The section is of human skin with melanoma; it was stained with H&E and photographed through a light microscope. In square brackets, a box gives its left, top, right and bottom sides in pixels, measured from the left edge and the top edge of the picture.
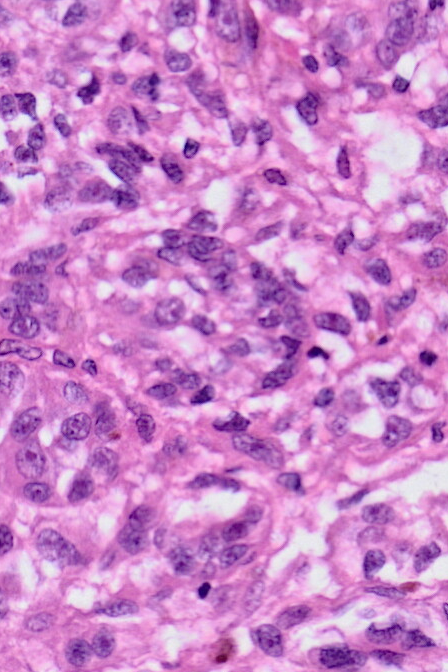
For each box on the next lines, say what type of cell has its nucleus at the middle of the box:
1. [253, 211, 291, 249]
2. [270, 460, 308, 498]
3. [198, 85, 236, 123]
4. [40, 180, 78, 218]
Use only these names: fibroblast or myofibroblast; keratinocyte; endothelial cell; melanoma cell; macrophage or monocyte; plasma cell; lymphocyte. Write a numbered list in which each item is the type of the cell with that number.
1. melanoma cell
2. macrophage or monocyte
3. melanoma cell
4. melanoma cell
